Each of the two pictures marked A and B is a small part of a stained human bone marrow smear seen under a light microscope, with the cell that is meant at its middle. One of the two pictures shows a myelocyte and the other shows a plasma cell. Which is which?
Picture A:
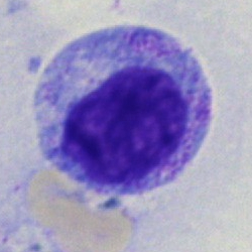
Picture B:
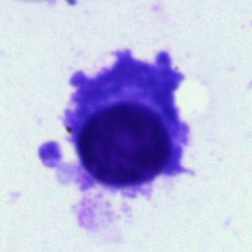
A: myelocyte
B: plasma cell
